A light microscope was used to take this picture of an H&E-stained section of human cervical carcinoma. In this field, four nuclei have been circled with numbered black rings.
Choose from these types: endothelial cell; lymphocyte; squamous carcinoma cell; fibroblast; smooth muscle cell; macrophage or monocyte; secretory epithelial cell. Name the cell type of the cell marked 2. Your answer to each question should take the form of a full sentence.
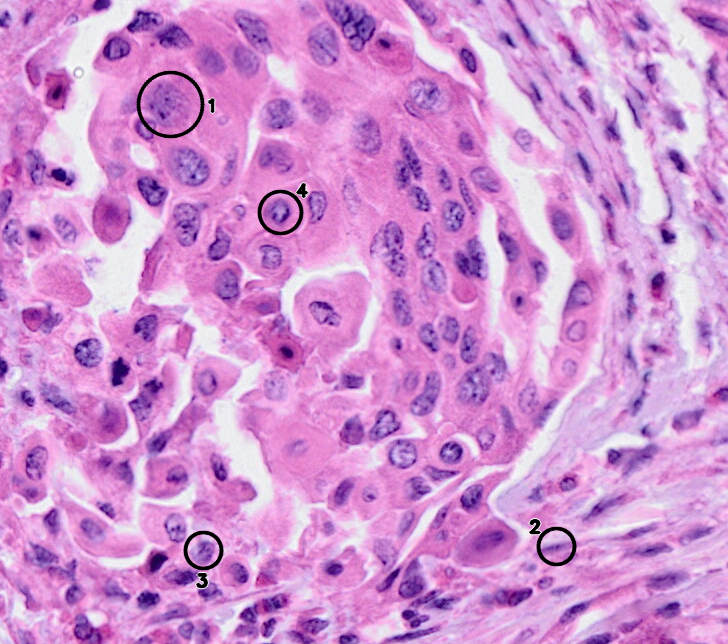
The identity of cell 2 is that of a fibroblast.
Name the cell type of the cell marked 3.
The cell numbered 3 represents a macrophage or monocyte.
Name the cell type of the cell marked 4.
Number 4 among the marked cells is a squamous carcinoma cell.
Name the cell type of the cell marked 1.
Cell 1 is classified as a squamous carcinoma cell.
